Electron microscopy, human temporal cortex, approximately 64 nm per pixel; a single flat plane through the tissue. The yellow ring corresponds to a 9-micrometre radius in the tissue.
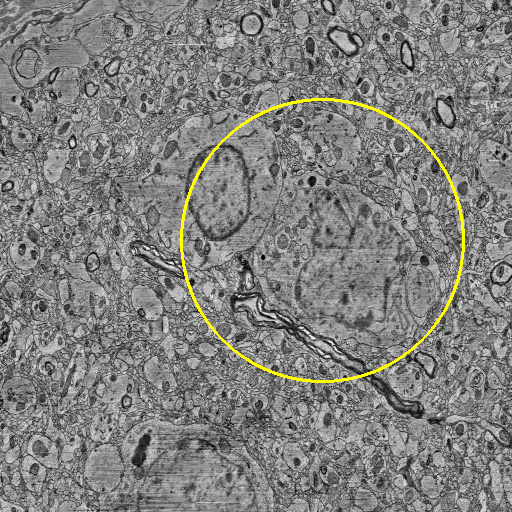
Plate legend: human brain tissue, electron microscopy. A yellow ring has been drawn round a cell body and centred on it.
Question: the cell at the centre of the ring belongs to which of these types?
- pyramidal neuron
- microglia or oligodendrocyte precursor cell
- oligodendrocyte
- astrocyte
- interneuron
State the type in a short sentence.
The cell in the middle of the ring is an interneuron.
